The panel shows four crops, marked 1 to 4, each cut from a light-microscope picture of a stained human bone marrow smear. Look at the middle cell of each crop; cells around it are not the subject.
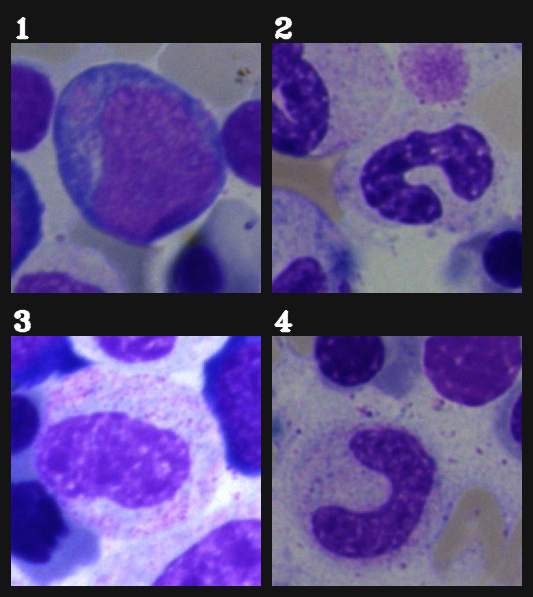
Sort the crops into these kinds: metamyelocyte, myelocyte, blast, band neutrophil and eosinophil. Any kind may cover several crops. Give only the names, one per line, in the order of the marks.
blast
band neutrophil
metamyelocyte
band neutrophil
